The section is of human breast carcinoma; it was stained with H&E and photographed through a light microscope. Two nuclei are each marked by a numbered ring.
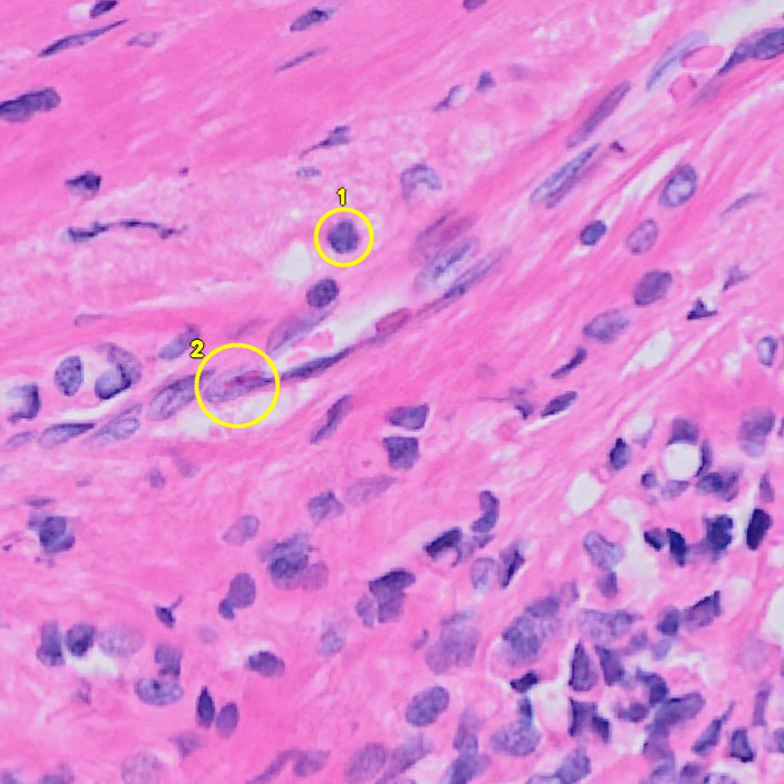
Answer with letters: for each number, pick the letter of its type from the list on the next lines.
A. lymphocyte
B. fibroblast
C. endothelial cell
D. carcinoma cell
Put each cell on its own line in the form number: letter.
1: A
2: C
